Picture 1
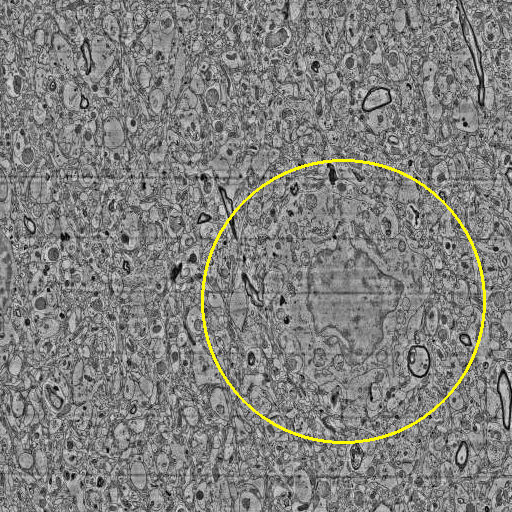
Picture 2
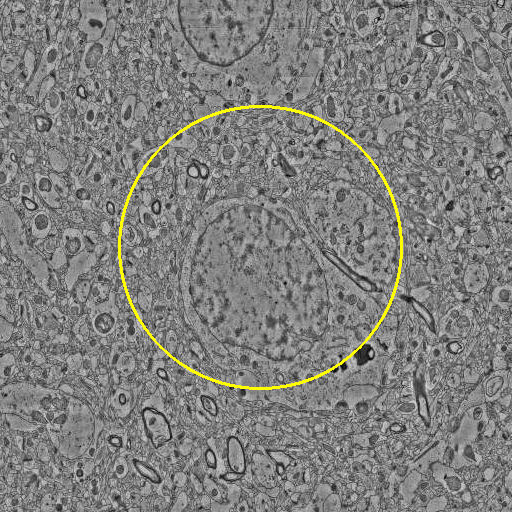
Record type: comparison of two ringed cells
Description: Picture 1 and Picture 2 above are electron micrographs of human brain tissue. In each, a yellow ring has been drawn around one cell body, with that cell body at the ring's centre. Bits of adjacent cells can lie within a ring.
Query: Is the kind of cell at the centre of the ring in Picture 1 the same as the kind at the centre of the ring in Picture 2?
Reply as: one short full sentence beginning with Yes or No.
Yes, the two ringed cells are of the same kind.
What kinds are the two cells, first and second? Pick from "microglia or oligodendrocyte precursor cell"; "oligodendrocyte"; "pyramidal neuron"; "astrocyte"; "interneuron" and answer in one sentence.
Each of the two pictures has an interneuron at the ring centre.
